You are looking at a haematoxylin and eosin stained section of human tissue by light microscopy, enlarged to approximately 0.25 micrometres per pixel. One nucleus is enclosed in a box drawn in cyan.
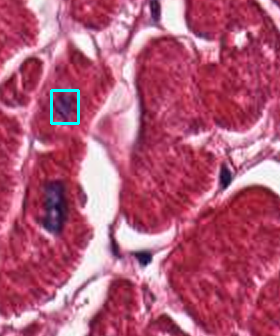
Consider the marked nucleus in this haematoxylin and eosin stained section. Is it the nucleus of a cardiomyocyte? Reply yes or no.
yes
